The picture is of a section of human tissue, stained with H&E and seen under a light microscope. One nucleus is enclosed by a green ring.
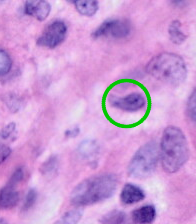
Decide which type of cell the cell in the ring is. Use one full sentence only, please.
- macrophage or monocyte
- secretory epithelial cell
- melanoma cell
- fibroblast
Among the cells in this section, the cell in the ring is a macrophage or monocyte.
